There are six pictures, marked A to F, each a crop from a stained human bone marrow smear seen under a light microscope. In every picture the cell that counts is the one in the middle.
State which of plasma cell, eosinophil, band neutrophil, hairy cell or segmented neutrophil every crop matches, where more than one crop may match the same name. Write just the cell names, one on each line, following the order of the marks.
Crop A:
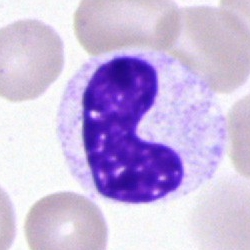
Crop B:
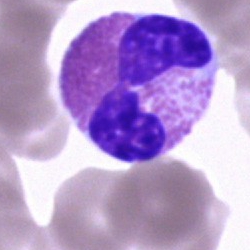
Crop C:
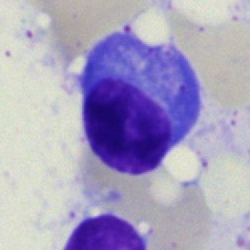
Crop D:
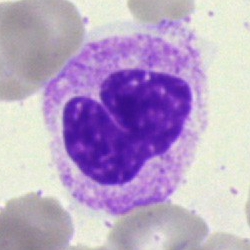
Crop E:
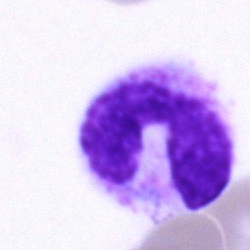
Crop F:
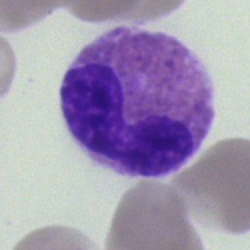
band neutrophil
eosinophil
plasma cell
band neutrophil
band neutrophil
eosinophil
